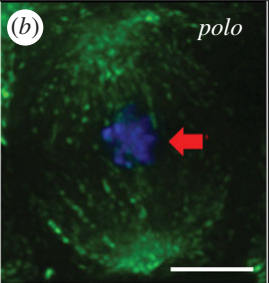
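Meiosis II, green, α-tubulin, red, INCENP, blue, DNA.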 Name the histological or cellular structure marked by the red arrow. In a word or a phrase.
Aligned chromosomes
